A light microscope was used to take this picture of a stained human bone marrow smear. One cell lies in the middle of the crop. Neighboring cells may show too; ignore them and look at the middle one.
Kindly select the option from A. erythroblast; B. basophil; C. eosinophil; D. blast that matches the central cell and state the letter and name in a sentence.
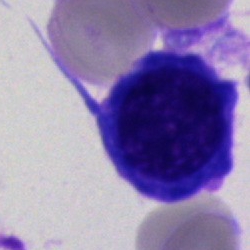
Option A correctly states that the central cell is an erythroblast.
